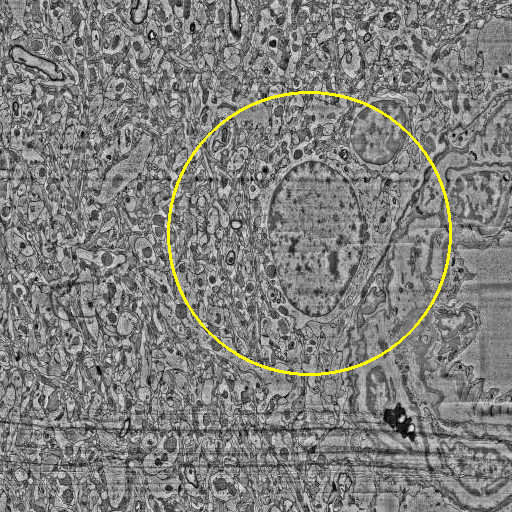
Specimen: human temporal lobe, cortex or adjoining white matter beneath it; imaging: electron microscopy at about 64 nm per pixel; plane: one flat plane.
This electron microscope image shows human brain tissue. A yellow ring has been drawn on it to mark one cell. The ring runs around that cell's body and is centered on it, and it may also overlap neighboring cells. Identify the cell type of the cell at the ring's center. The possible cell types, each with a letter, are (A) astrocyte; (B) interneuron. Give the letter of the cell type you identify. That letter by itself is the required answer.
A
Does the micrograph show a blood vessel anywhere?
Yes, a blood vessel is present in this picture.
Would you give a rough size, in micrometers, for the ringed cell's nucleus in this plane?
Approximately 10 by 6 micrometers, which makes the nucleus clearly longer than it is wide in this plane.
